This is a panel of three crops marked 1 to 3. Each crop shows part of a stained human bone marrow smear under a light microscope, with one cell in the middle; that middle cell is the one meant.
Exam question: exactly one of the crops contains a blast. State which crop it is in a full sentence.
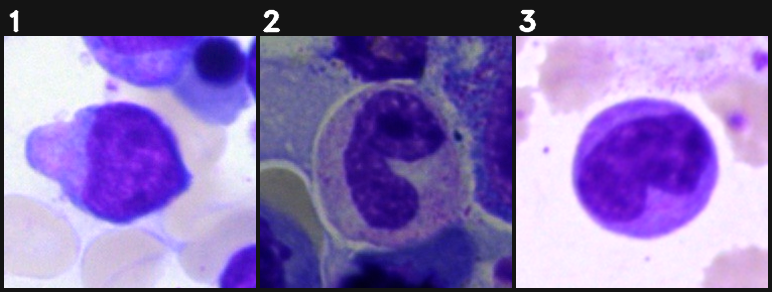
The crop carrying a blast at the center is crop 1.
